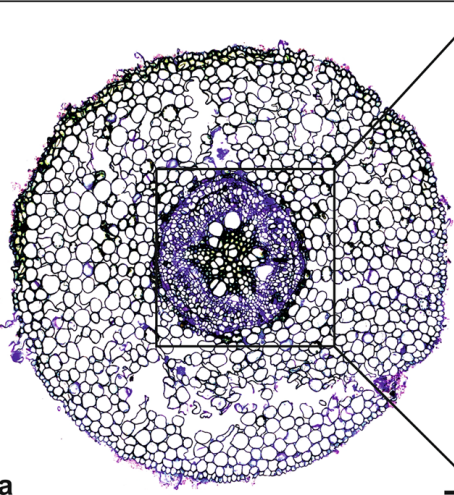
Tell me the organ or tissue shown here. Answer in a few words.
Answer: Roots.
